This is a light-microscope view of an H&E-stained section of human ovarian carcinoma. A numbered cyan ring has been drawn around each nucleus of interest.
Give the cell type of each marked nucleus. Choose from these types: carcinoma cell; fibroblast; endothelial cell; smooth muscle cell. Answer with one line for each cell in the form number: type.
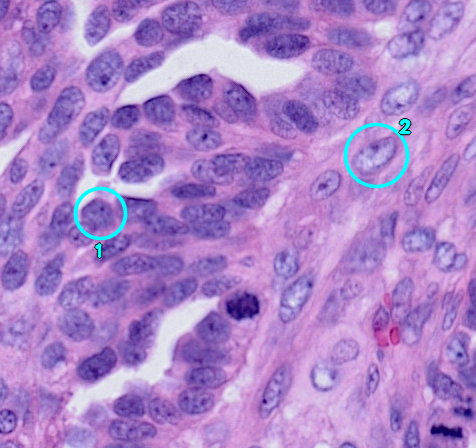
1: carcinoma cell
2: fibroblast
